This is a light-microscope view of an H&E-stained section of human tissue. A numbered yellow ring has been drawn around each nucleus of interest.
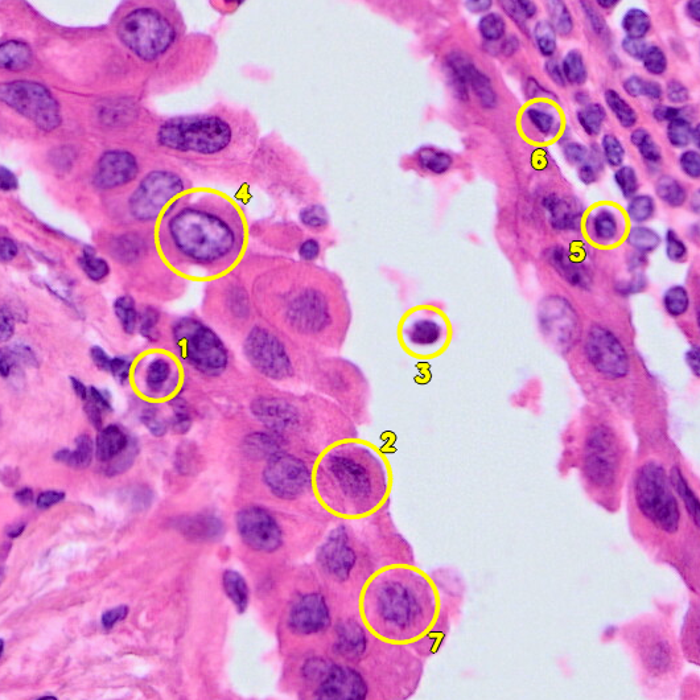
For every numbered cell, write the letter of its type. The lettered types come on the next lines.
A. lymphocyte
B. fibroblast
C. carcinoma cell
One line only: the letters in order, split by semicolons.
A; C; A; C; A; A; C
